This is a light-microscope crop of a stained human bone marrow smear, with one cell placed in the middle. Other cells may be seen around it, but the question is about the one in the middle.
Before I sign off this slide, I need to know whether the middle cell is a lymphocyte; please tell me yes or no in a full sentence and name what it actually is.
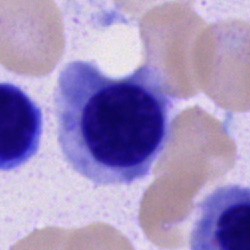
No, the cell of interest here is an erythroblast and not a lymphocyte.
